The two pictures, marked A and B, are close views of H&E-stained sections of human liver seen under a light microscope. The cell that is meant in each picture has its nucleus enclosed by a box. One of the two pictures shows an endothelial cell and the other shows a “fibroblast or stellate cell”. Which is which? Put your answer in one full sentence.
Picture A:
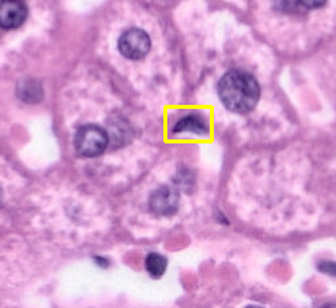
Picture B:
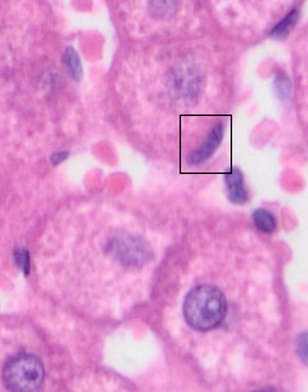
It is picture A that shows an endothelial cell, and picture B that shows a “fibroblast or stellate cell”.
